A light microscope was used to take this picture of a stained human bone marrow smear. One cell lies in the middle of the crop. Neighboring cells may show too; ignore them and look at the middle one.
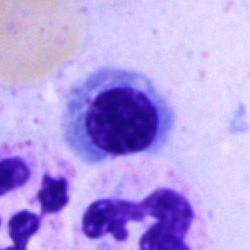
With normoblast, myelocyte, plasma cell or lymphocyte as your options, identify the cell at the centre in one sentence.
This crop is built around a normoblast at its centre.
